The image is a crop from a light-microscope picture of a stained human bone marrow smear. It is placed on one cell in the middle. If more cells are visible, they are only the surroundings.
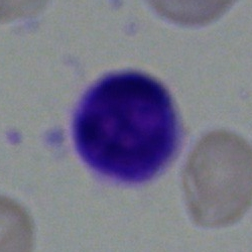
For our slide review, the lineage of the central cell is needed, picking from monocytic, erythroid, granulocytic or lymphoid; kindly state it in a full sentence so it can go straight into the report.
The cell at the center of this crop is from the lymphoid lineage.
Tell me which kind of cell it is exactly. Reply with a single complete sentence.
The cell positioned in the middle of the field is a lymphocyte.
